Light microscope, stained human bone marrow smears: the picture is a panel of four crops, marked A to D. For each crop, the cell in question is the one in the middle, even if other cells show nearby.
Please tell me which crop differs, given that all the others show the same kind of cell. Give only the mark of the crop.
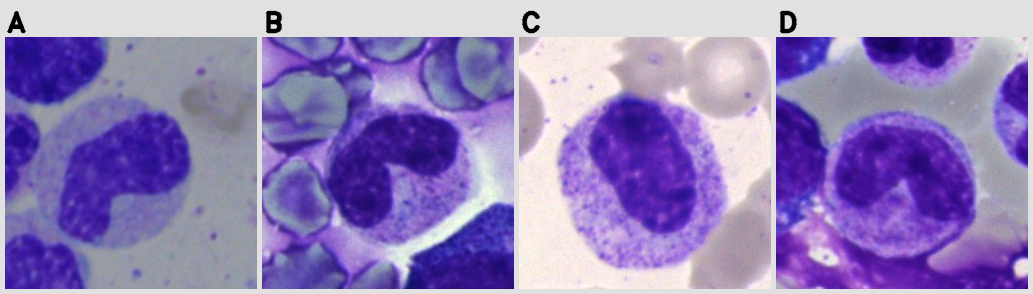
C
